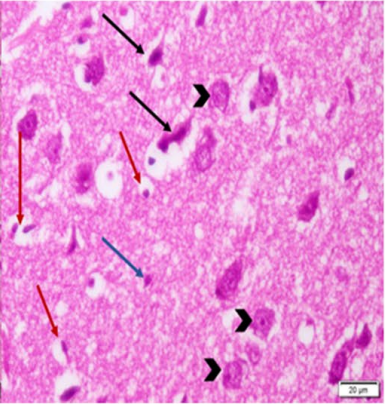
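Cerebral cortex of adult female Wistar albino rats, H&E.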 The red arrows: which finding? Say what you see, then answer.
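The marked cells are small with dark condensed nuclei. Clear spaces surround the marked cells. That points to this answer: pyknotic cells with pericellular halo.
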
